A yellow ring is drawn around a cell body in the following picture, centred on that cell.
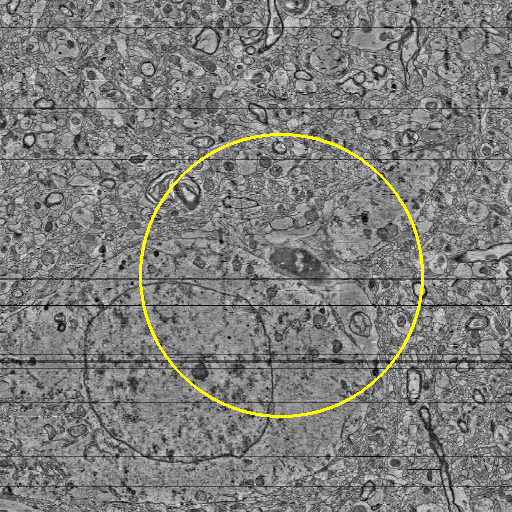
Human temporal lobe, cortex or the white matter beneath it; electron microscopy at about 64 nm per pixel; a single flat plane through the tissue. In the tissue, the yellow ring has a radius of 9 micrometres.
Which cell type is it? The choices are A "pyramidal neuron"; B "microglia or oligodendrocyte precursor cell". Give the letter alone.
B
